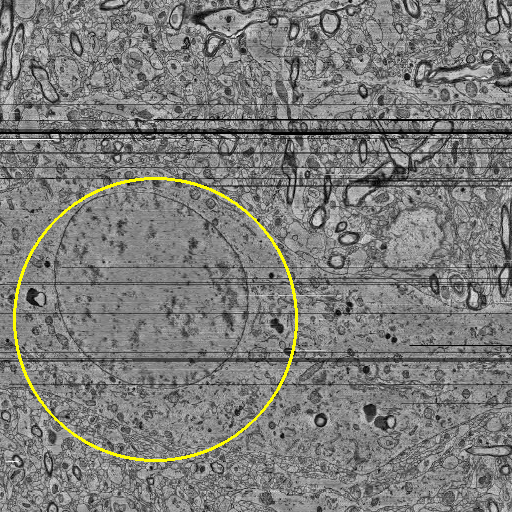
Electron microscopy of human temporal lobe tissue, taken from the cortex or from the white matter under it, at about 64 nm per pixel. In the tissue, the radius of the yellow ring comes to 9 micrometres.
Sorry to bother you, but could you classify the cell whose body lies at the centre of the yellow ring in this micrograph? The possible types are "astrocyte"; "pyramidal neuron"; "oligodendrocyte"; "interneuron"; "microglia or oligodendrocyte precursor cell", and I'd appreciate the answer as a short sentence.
The ringed cell body is that of a pyramidal neuron.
